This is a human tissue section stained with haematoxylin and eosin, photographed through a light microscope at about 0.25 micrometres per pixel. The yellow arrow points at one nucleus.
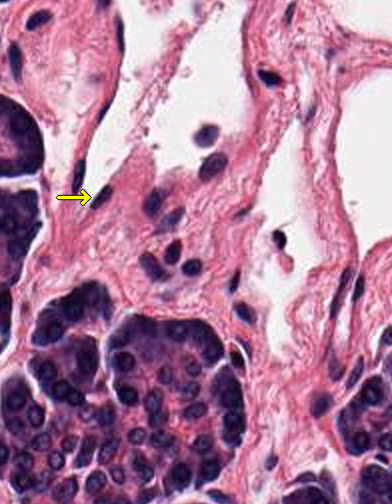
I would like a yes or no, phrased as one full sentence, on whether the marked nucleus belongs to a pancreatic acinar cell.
No, it is a supporting cell, not a pancreatic acinar cell, to which the marked nucleus belongs.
